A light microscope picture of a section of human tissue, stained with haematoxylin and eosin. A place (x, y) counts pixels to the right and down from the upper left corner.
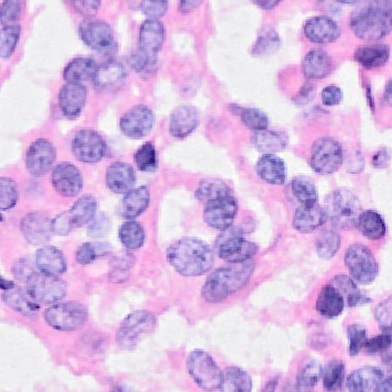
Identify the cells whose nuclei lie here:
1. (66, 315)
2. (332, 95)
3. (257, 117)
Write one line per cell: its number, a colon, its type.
1: carcinoma cell
2: lymphocyte
3: carcinoma cell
